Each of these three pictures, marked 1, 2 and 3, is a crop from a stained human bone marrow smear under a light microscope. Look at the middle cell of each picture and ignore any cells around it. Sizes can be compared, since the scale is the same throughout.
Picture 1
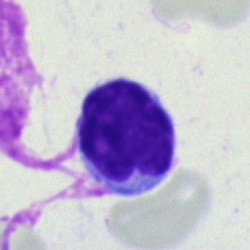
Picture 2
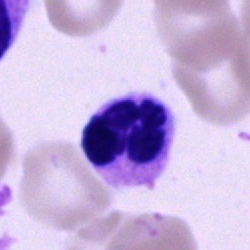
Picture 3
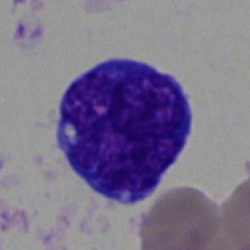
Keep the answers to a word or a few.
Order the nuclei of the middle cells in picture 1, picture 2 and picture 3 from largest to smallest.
3, 1, 2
